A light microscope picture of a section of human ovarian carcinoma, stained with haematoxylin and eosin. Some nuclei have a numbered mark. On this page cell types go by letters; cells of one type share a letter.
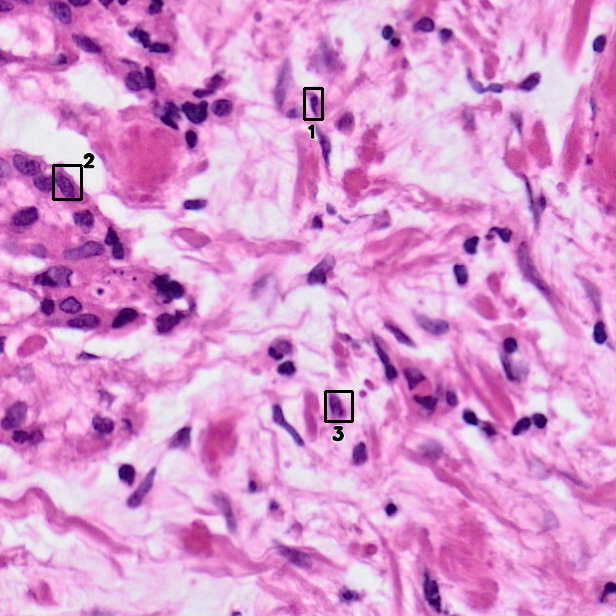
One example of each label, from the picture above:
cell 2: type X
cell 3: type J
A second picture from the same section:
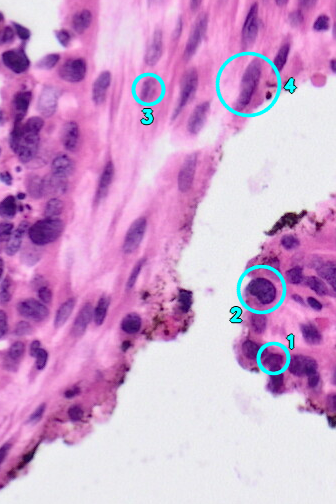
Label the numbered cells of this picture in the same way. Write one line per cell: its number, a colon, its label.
1: type X
2: type X
3: type J
4: type J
